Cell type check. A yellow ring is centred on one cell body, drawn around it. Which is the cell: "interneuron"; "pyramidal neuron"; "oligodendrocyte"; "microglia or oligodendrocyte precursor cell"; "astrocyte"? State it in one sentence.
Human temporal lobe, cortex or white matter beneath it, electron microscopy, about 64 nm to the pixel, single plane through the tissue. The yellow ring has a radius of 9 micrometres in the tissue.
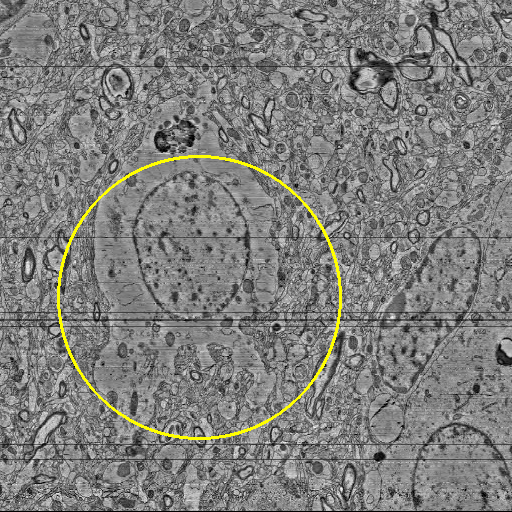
The cell body at the ring's centre belongs to an astrocyte.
